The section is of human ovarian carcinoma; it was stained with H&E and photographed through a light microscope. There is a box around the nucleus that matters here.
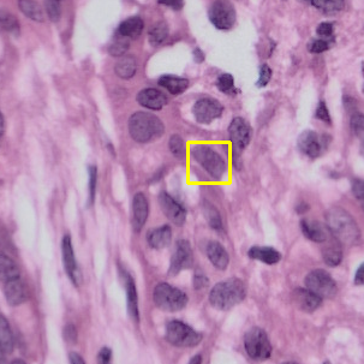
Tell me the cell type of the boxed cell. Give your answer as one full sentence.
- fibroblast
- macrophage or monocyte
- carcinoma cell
Placed in its cell category, the boxed cell is a carcinoma cell.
